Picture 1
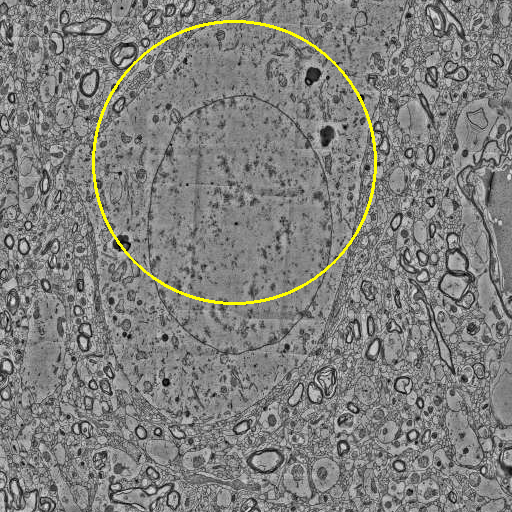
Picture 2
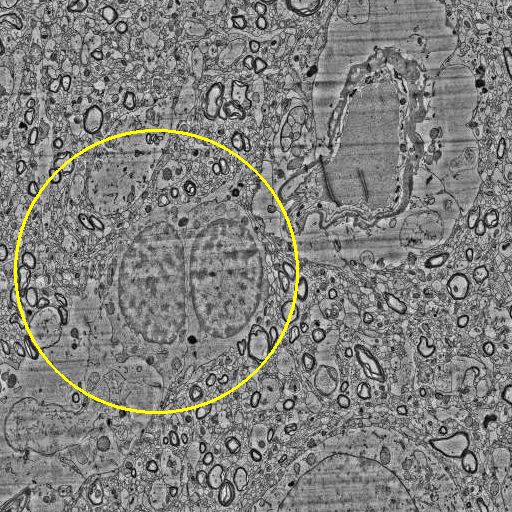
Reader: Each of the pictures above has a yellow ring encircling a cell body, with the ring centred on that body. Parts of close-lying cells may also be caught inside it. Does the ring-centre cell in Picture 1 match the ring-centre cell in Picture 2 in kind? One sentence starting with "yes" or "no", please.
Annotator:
No, Picture 1 and Picture 2 show ring-centre cells of two kinds.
